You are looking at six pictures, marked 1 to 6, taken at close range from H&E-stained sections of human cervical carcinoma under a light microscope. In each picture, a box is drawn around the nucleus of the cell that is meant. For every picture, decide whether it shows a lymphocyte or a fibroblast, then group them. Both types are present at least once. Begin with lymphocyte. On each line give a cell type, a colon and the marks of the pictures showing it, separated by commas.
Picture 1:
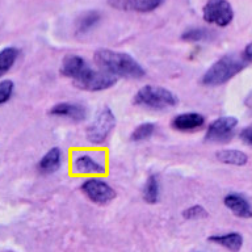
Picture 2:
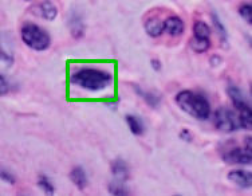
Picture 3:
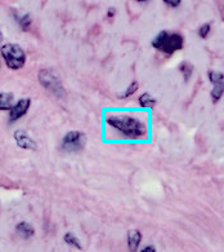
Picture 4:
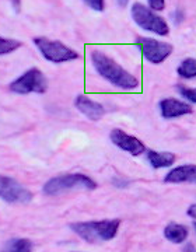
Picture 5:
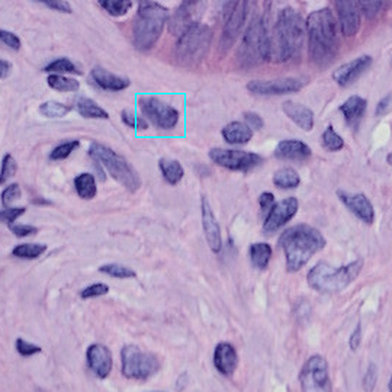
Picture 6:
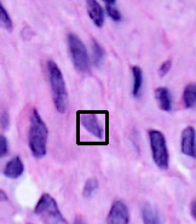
lymphocyte: 2, 3
fibroblast: 1, 4, 5, 6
